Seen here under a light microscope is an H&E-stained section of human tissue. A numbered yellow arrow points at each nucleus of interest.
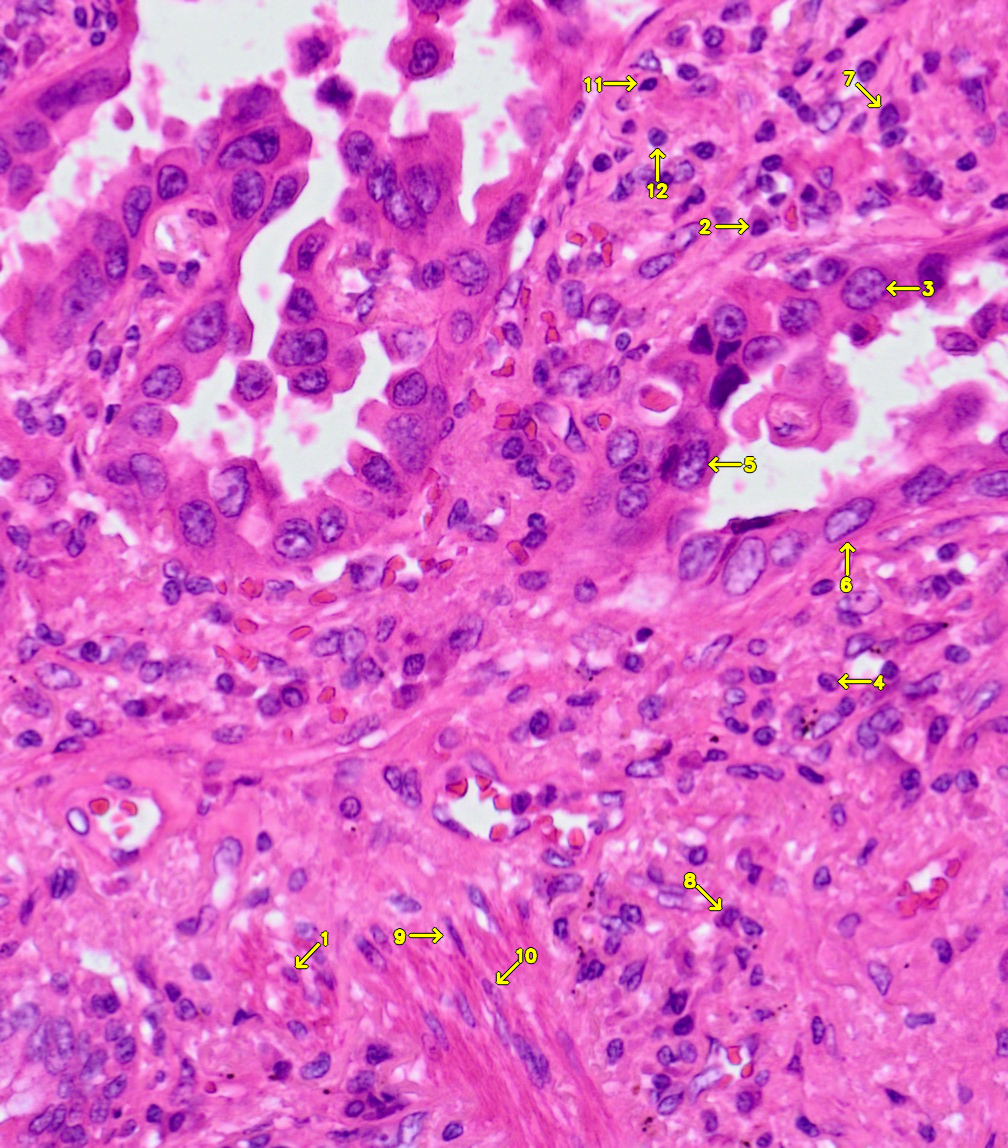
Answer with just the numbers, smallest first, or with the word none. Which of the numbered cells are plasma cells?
2, 7, 8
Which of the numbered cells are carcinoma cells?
3, 5, 6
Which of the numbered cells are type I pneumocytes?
none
